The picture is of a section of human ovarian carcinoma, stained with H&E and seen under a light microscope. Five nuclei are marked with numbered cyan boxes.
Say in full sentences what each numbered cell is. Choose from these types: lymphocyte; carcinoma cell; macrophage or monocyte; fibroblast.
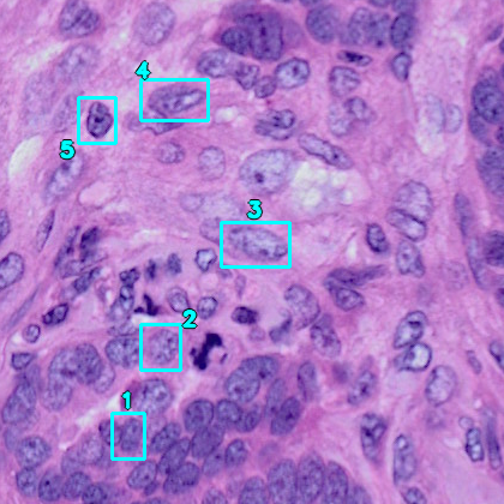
Cell 1 is a carcinoma cell, cell 2 is a carcinoma cell, cell 3 is a fibroblast, cell 4 is a fibroblast and cell 5 is a lymphocyte.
